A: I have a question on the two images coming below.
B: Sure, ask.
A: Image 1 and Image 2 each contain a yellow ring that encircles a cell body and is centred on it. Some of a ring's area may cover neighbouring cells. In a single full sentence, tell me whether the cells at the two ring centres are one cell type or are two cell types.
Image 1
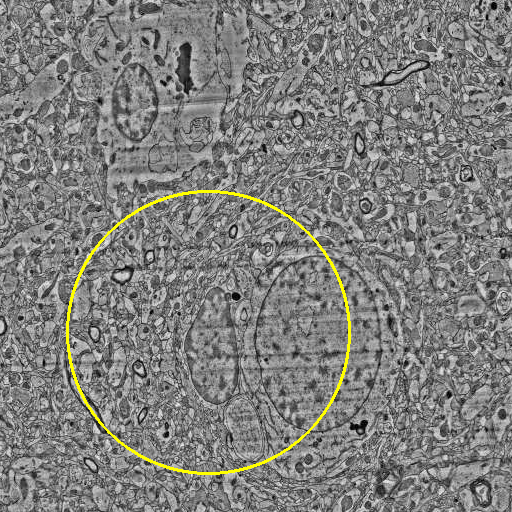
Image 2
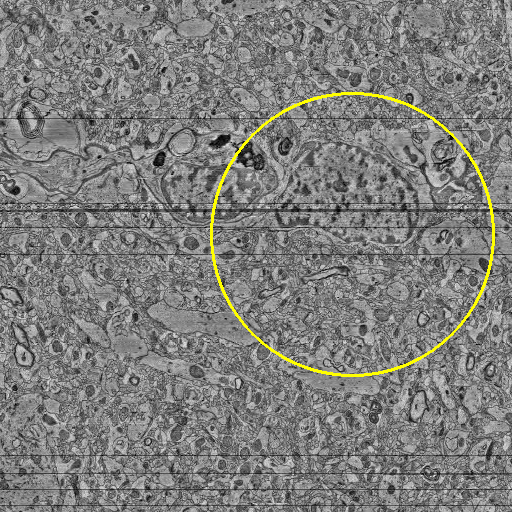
As for the ring-centre cells, the one in Image 1 and the one in Image 2 are one cell type.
